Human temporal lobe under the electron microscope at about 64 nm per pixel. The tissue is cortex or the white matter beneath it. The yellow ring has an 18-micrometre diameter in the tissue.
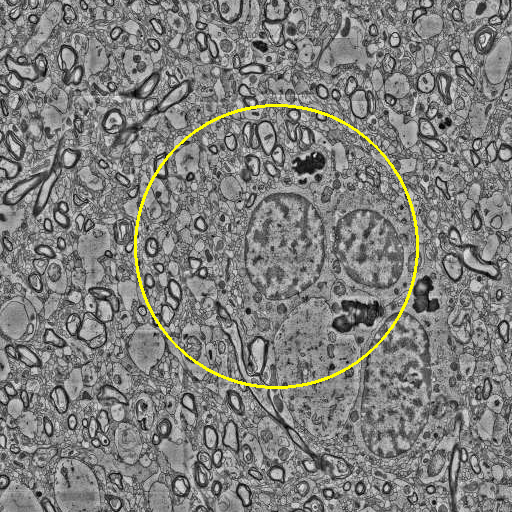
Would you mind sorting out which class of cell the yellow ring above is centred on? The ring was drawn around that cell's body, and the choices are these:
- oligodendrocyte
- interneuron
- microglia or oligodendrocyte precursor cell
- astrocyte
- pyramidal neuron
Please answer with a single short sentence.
This is the cell body of an oligodendrocyte.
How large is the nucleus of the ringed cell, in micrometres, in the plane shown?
The nucleus has a long axis of about 7 micrometres and a short axis of about 5 micrometres in this plane.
